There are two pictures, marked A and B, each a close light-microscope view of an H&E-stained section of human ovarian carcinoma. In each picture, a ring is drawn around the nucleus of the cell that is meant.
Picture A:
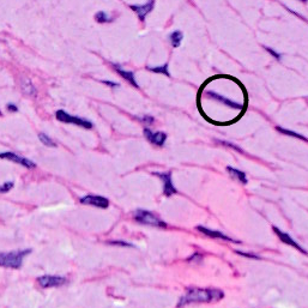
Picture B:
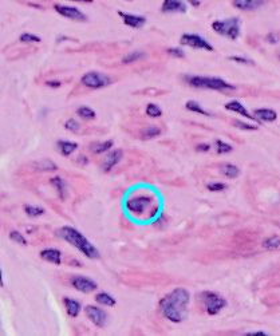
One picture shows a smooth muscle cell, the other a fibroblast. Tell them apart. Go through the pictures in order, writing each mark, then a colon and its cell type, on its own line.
A: fibroblast
B: smooth muscle cell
